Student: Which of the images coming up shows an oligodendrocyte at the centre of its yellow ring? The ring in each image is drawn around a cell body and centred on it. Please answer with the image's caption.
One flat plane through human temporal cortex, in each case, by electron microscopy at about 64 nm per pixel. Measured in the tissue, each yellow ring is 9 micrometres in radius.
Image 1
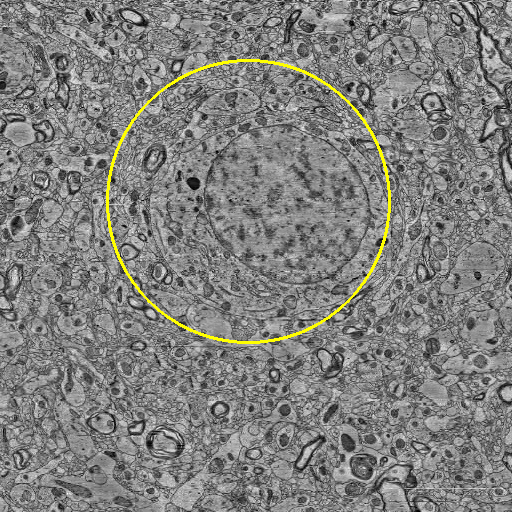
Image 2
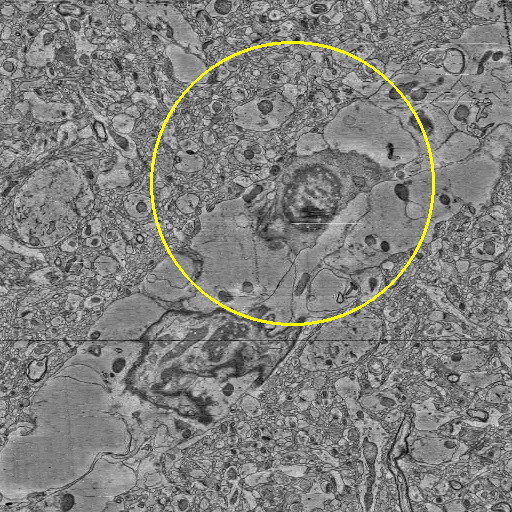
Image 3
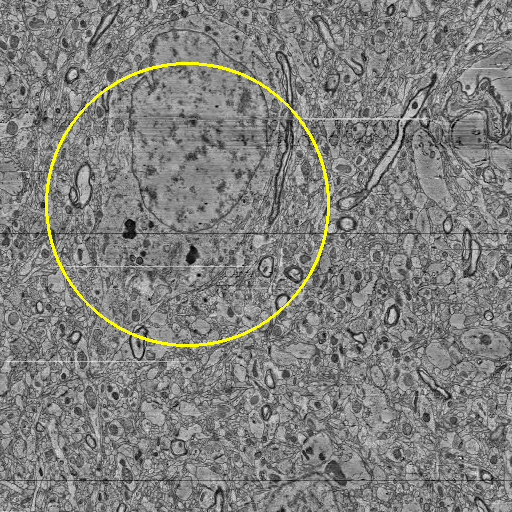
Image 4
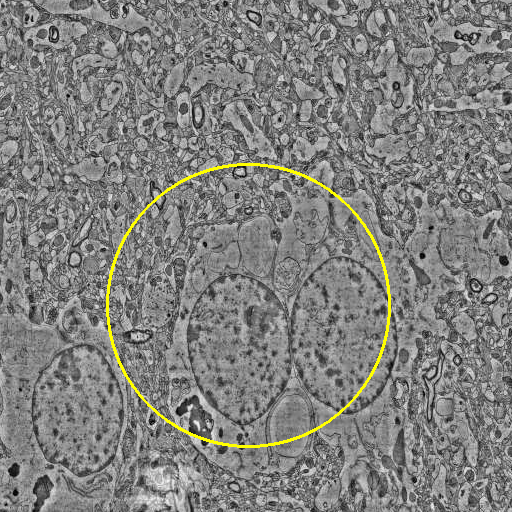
Image 2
